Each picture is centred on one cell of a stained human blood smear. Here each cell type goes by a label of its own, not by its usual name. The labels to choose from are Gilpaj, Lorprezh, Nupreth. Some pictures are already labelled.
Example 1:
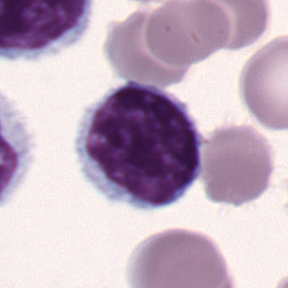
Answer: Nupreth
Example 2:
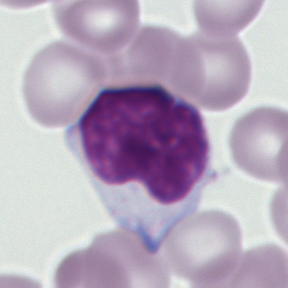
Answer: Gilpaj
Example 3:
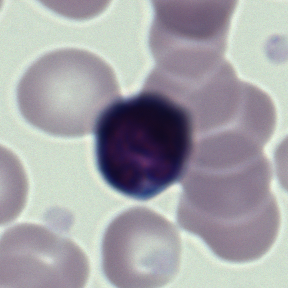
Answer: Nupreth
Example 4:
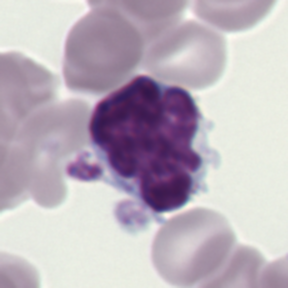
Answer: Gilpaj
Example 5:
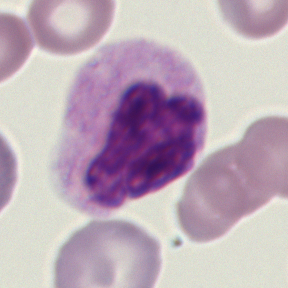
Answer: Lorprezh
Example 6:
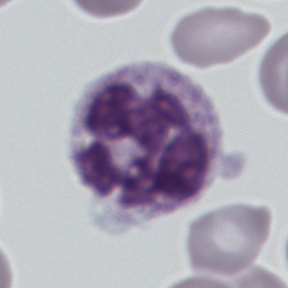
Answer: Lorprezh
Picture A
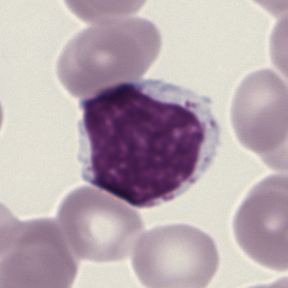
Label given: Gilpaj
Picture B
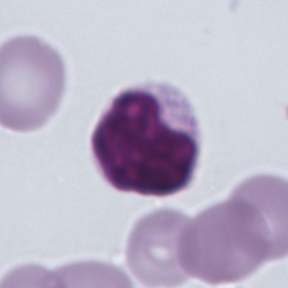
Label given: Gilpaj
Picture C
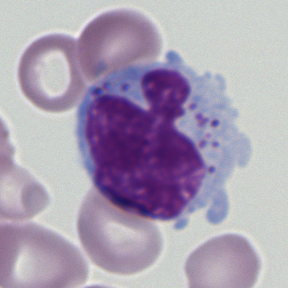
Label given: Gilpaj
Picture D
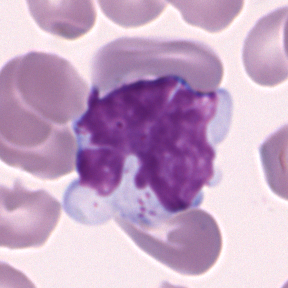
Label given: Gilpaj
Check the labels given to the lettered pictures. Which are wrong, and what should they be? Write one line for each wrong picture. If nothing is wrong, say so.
Nothing to fix; every label fits.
